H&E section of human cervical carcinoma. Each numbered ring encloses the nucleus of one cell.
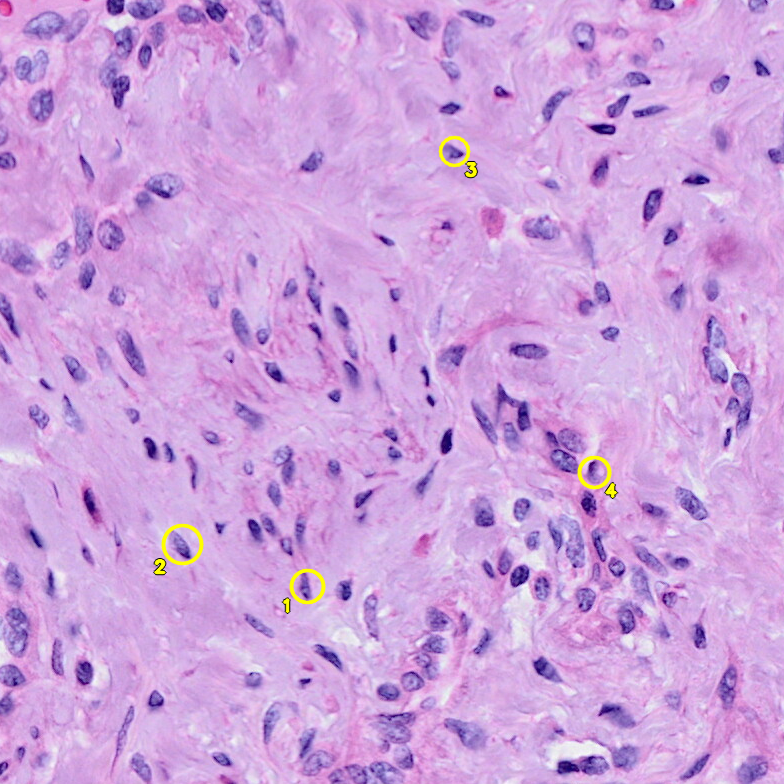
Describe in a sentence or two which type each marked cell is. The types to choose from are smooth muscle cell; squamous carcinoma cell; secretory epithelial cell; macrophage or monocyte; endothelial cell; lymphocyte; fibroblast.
Cell 1 is a smooth muscle cell, cell 2 is a fibroblast, cell 3 is a fibroblast and cell 4 is an endothelial cell.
